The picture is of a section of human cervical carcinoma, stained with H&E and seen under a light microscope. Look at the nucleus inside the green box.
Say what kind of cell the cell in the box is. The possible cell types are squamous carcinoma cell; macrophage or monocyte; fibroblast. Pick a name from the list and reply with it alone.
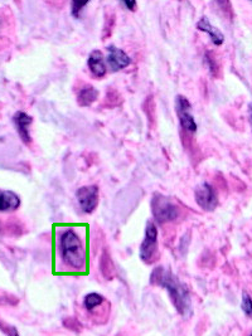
macrophage or monocyte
